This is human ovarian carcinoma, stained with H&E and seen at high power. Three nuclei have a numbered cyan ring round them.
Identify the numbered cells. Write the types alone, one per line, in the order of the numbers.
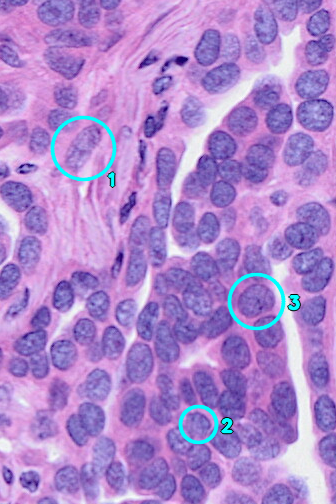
fibroblast
carcinoma cell
carcinoma cell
